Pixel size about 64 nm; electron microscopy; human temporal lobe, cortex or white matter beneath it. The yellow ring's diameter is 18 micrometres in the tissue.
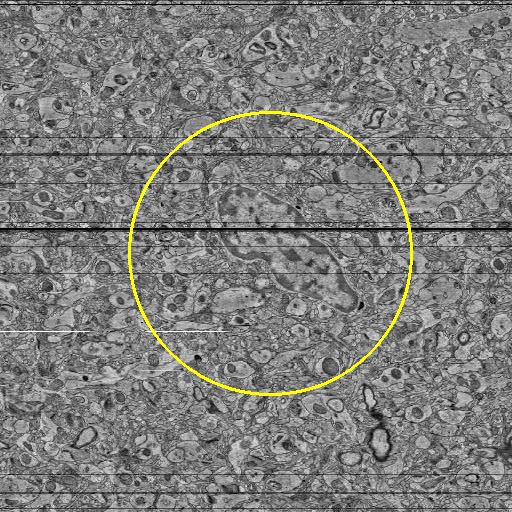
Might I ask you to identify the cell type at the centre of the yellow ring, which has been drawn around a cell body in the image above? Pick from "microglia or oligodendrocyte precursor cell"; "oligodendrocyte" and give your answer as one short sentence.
The centre of the ring falls on a microglial cell or oligodendrocyte precursor cell.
